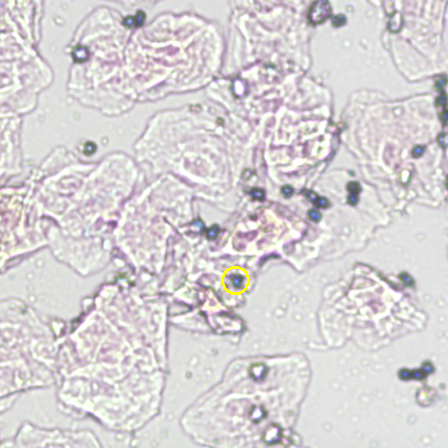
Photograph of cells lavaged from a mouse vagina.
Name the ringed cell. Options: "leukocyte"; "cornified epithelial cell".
leukocyte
